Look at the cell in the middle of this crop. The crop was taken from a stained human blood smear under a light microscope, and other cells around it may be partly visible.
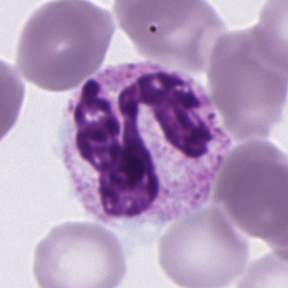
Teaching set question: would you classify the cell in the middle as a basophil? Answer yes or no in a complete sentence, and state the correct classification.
No, at the centre of this crop is found a segmented neutrophil instead of a basophil.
